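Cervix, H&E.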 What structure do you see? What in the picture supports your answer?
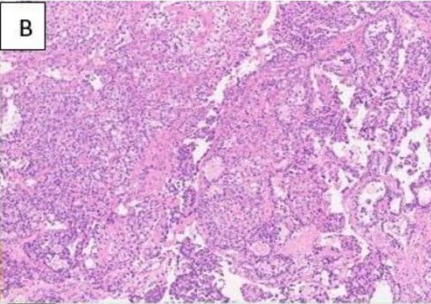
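Tumor forms small tubules and open cystic spaces. Cellular nests and projections are separated by pink stroma.
Tubulo-cystic pattern and papillary pattern.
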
